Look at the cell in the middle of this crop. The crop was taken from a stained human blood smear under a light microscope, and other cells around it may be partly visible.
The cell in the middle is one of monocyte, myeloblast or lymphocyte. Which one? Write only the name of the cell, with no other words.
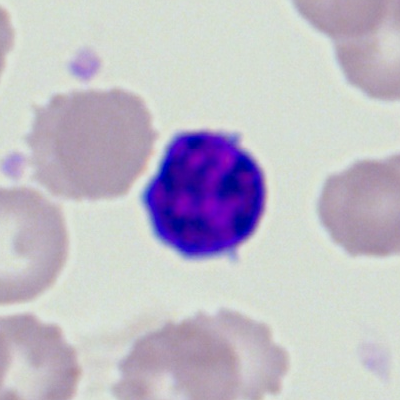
lymphocyte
